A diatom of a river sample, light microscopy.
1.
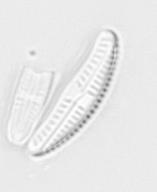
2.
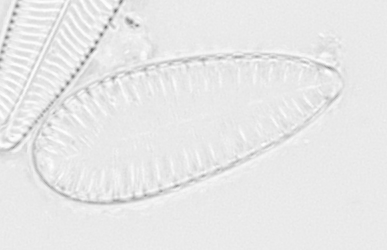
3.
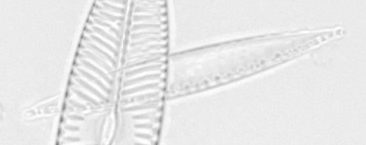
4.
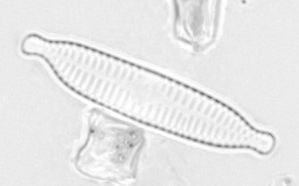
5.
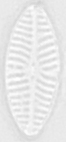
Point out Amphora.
That is picture 1.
